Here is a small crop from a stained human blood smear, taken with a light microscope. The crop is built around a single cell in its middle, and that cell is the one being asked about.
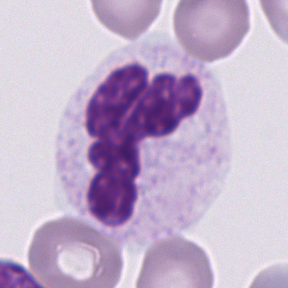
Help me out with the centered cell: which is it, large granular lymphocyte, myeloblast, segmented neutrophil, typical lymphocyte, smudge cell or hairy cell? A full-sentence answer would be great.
The cell in the middle of this crop is a segmented neutrophil.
